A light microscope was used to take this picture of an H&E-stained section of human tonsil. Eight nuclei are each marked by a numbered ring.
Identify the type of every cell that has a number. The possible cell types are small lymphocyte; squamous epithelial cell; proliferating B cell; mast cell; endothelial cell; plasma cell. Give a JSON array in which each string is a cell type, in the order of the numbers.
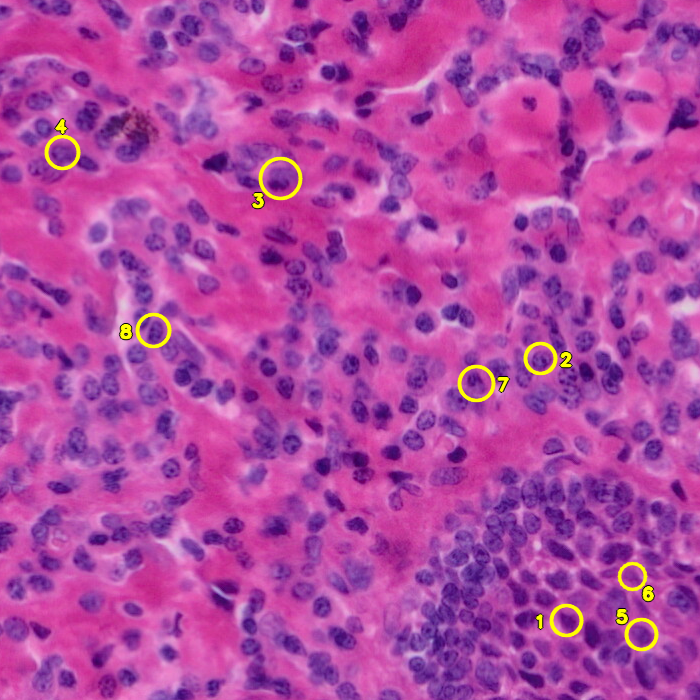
["squamous epithelial cell", "plasma cell", "endothelial cell", "plasma cell", "squamous epithelial cell", "squamous epithelial cell", "plasma cell", "plasma cell"]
